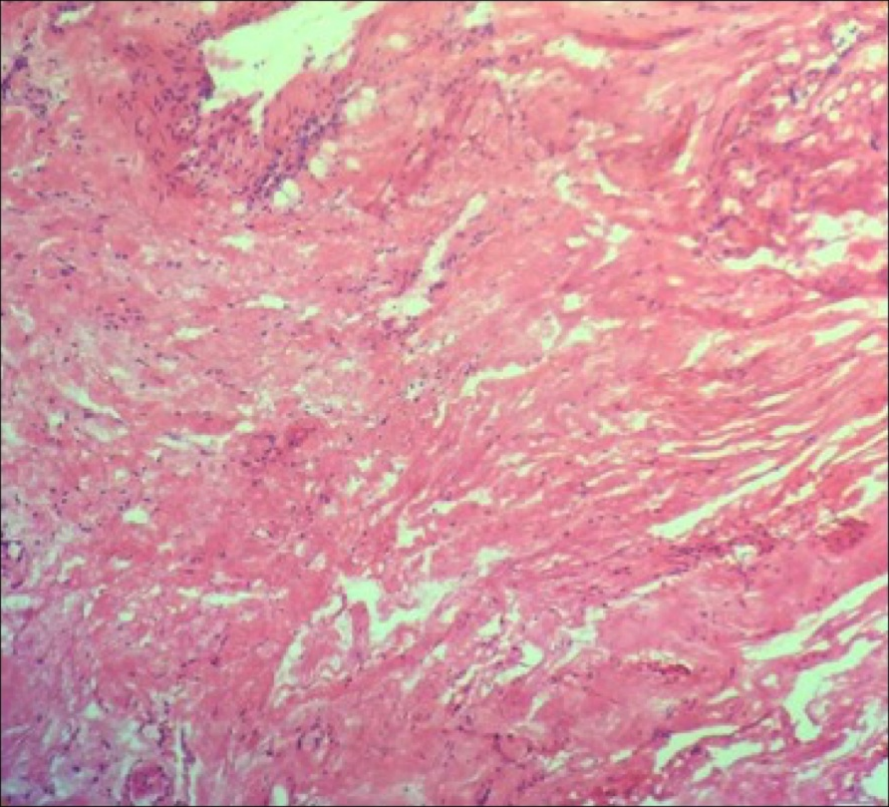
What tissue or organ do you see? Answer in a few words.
Fibrous tissue.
